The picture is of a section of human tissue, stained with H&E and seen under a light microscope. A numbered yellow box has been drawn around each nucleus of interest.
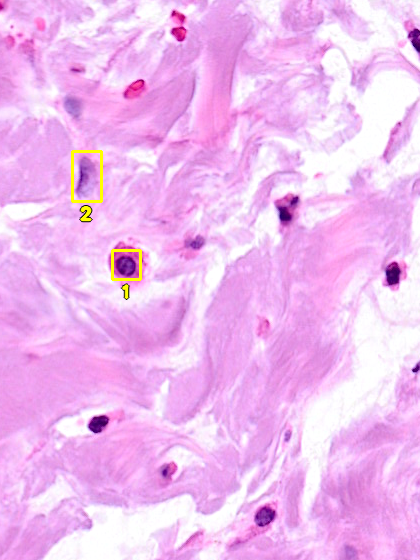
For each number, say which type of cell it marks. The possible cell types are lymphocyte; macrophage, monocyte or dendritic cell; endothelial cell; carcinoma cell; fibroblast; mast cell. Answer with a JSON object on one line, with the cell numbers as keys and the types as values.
{"1": "mast cell", "2": "fibroblast"}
